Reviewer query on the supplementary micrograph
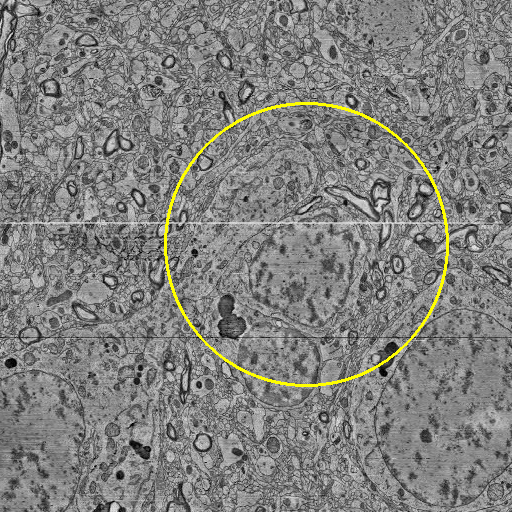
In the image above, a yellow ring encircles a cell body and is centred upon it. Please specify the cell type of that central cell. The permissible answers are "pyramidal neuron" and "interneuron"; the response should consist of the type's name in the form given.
interneuron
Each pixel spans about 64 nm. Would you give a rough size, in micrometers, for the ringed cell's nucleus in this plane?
Approximately 8 micrometres across, in this plane.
